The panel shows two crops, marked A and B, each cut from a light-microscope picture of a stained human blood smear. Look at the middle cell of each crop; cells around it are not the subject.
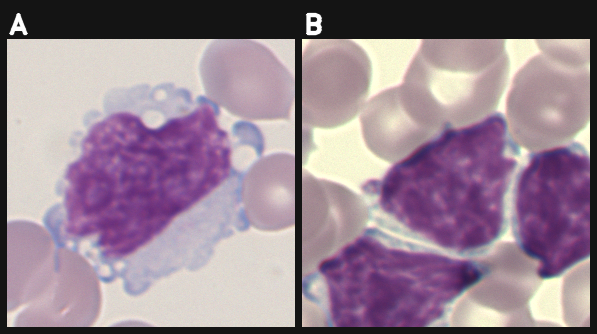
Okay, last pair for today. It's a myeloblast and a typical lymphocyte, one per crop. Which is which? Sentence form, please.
Okay, so crop A is a myeloblast and crop B is a typical lymphocyte.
